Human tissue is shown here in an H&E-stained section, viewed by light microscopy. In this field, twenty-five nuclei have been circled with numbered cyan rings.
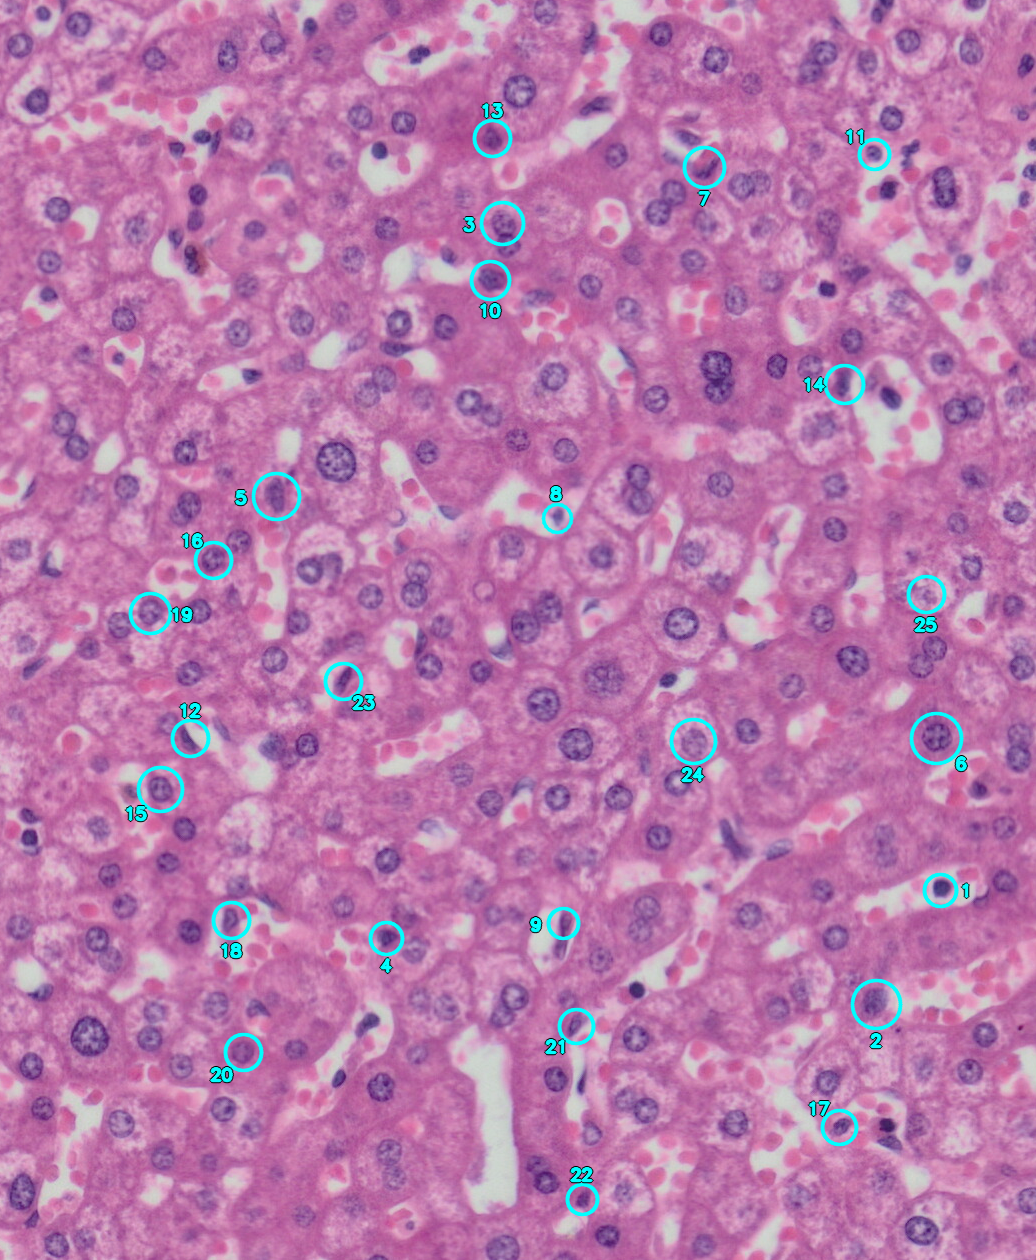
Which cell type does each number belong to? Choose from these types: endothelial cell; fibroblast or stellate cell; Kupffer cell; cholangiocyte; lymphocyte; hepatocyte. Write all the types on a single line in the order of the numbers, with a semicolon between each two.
lymphocyte; fibroblast or stellate cell; hepatocyte; fibroblast or stellate cell; fibroblast or stellate cell; hepatocyte; fibroblast or stellate cell; lymphocyte; Kupffer cell; fibroblast or stellate cell; lymphocyte; endothelial cell; fibroblast or stellate cell; fibroblast or stellate cell; hepatocyte; hepatocyte; lymphocyte; Kupffer cell; hepatocyte; hepatocyte; endothelial cell; fibroblast or stellate cell; Kupffer cell; hepatocyte; hepatocyte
